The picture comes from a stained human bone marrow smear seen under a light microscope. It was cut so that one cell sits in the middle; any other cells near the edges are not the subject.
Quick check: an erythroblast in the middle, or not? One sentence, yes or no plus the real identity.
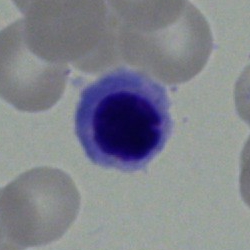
Yes, an erythroblast is the cell positioned in the middle of the field.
